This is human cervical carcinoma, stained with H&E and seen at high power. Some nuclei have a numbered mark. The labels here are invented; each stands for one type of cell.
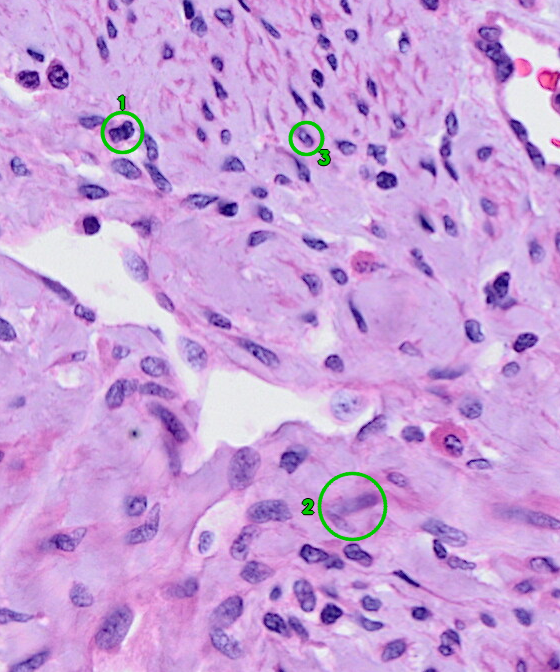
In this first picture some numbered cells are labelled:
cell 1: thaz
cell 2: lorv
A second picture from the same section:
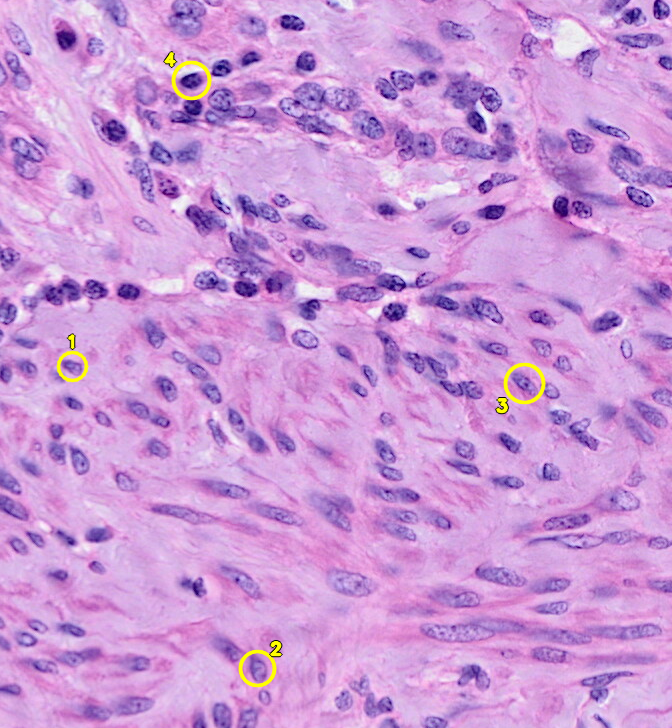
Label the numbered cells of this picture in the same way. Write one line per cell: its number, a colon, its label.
1: lorv
2: lorv
3: lorv
4: thaz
